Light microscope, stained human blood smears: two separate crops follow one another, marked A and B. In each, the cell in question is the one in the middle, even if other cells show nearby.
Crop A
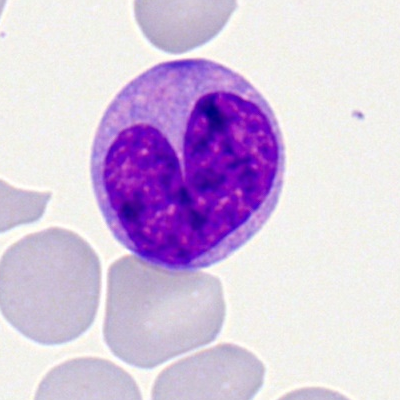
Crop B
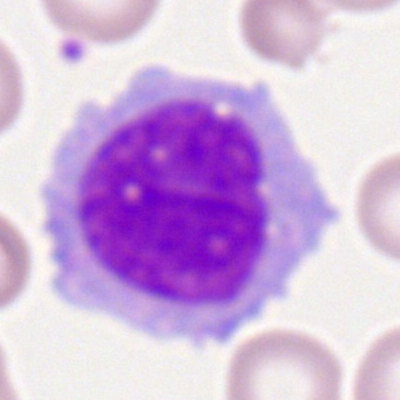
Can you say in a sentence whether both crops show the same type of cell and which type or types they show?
Yes, both crops show monocytes, each crop centred on one of them.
